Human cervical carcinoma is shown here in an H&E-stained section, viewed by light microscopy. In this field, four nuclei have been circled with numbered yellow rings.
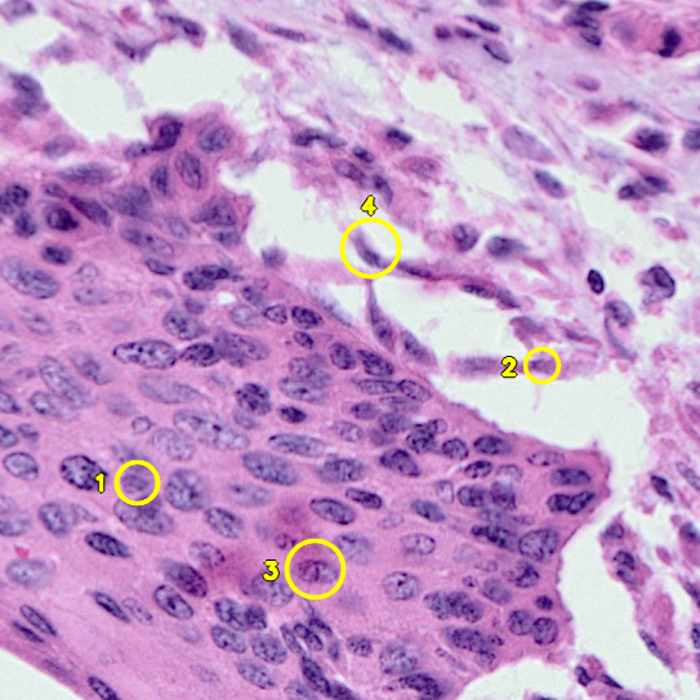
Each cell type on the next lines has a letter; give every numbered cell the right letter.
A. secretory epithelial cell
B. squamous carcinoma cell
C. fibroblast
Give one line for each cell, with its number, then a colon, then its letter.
1: B
2: C
3: B
4: C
